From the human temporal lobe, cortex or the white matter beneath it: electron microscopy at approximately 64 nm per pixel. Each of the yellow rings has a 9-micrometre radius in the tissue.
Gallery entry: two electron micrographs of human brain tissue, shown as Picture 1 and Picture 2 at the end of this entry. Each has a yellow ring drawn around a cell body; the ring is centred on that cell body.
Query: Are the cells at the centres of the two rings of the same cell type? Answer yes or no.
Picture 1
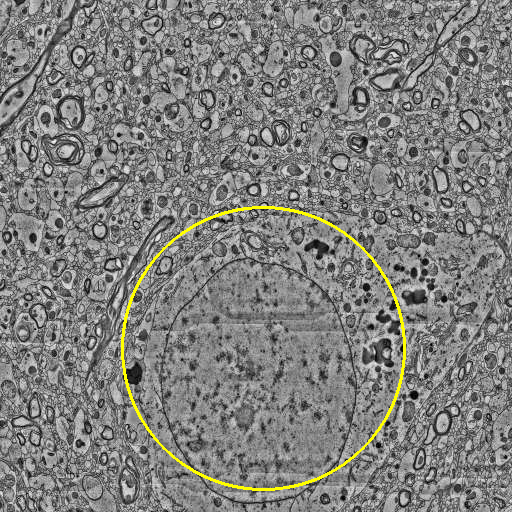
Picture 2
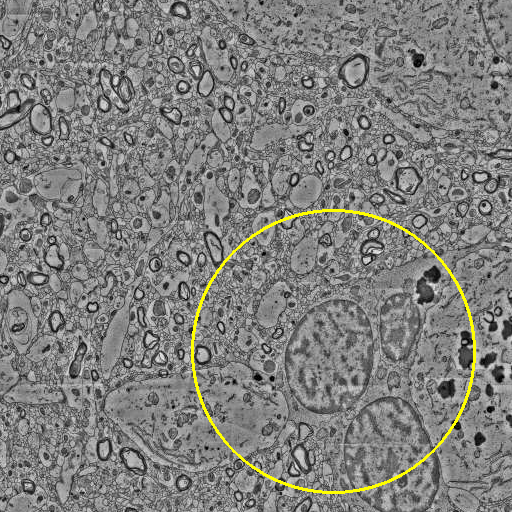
no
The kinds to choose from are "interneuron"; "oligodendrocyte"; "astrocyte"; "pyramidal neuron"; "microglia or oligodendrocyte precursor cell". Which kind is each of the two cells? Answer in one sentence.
Of the two, the first cell is a pyramidal neuron and the second cell is an oligodendrocyte.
